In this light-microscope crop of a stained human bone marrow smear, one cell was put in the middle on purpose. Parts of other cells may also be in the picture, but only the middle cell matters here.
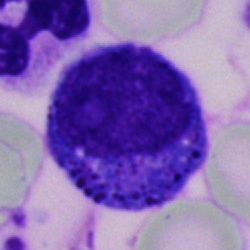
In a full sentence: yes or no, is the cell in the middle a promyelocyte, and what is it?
Yes, the crop's central cell is a promyelocyte.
